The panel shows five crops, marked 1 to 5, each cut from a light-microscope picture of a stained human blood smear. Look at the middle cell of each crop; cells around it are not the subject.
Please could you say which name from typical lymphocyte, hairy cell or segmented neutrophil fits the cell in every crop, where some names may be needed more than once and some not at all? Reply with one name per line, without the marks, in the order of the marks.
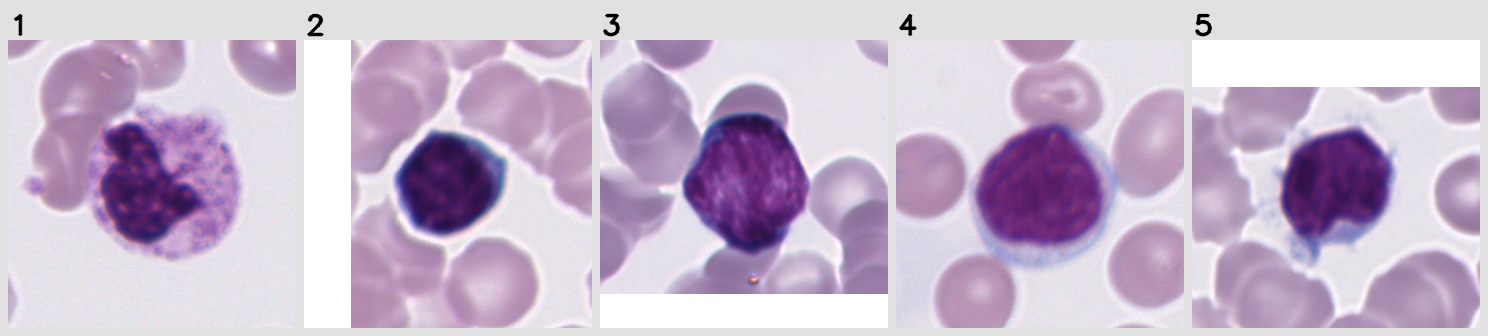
segmented neutrophil
typical lymphocyte
typical lymphocyte
typical lymphocyte
hairy cell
